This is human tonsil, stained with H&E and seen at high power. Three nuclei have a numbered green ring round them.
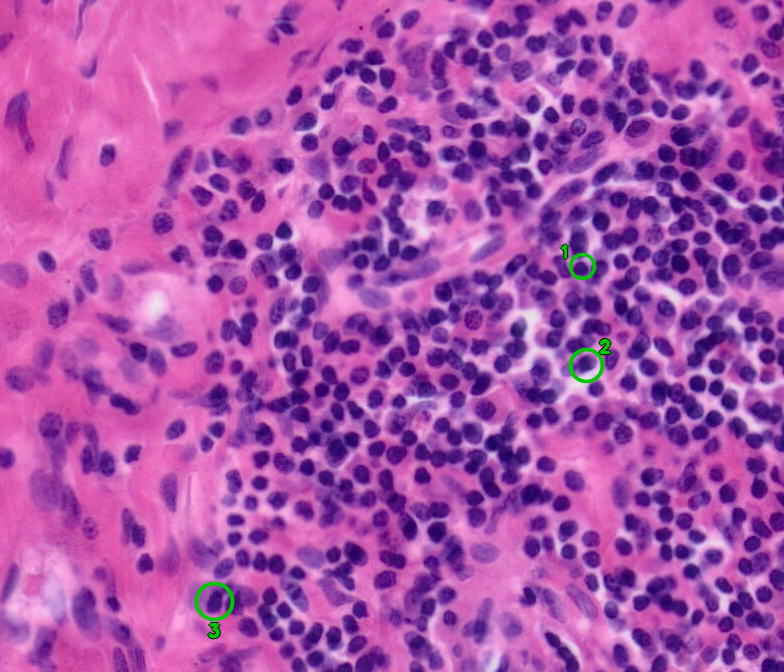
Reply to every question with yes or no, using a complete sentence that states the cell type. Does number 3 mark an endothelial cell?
Yes, an endothelial cell is what the cell numbered 3 is.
